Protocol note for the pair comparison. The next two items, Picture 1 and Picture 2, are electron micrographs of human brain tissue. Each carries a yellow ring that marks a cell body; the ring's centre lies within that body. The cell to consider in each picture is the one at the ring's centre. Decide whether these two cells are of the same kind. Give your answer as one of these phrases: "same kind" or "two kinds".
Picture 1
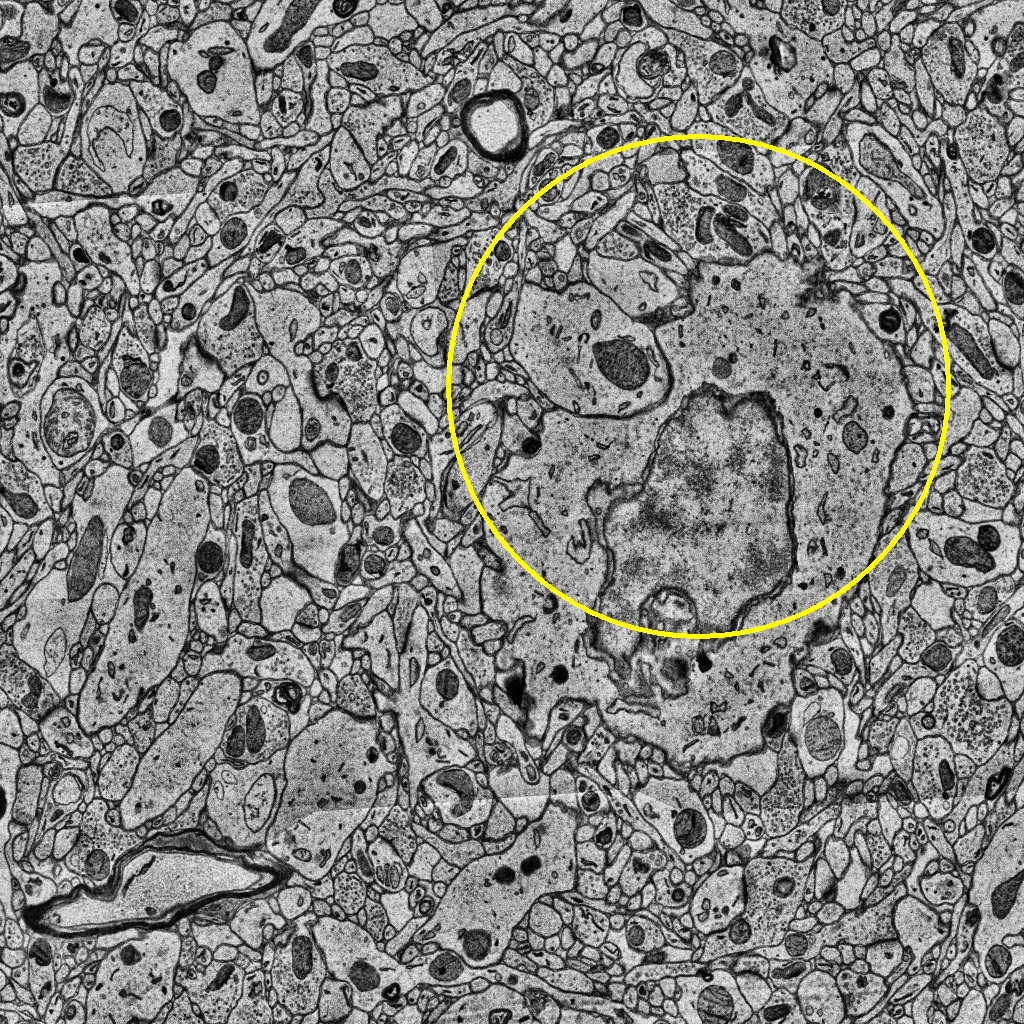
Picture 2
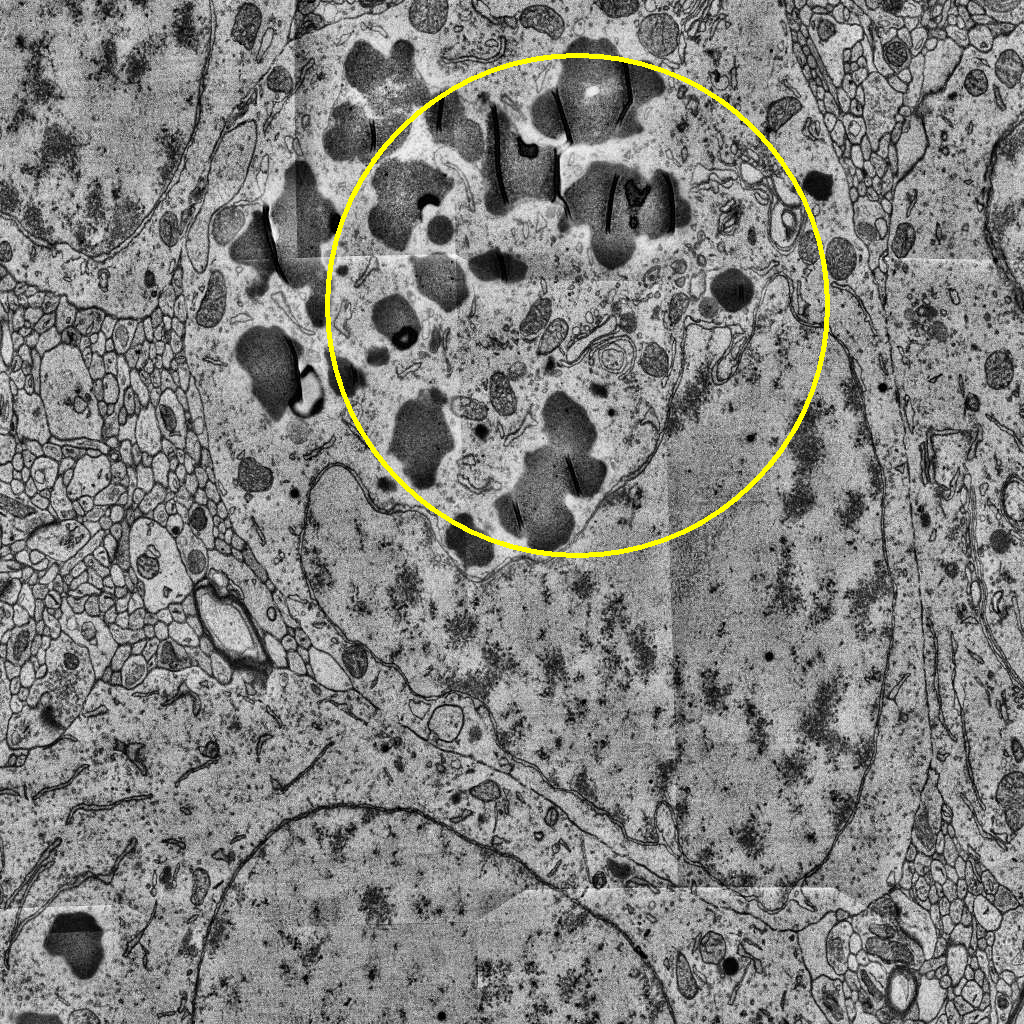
same kind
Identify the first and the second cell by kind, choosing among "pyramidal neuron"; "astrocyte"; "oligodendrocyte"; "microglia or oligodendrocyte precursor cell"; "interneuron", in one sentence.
The ring centre holds an interneuron in each of the two pictures.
